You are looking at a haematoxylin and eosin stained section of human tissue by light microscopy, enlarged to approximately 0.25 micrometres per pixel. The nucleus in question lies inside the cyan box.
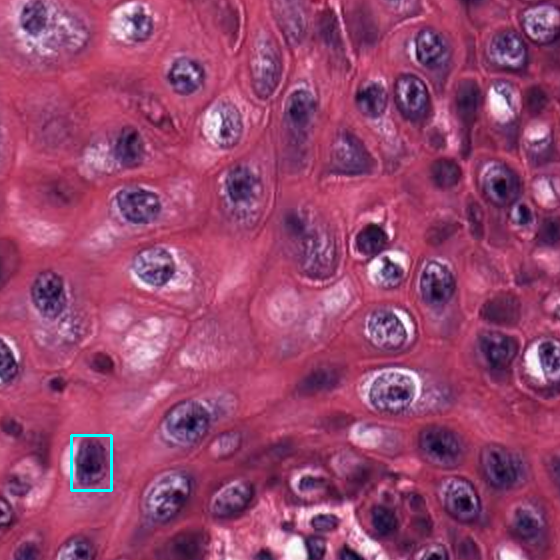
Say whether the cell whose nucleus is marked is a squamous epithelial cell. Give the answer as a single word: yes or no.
yes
